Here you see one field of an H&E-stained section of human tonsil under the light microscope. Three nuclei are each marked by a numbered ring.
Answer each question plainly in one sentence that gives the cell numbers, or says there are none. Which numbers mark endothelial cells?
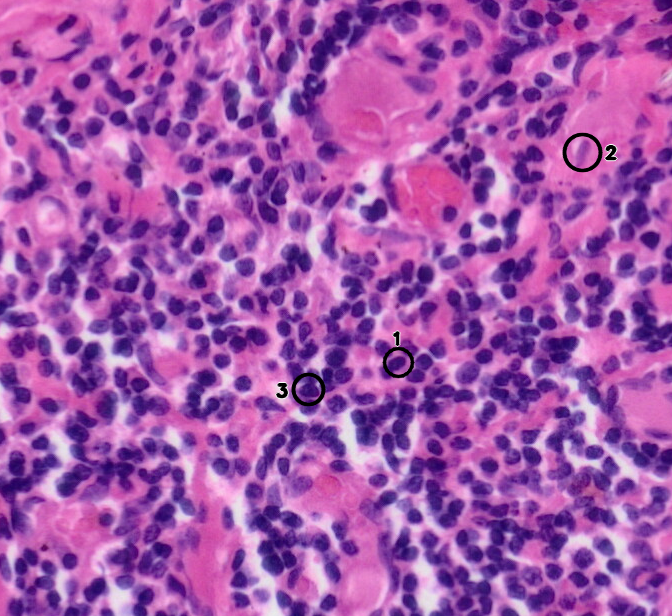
Where the numbered cells are concerned, only number 2 is an endothelial cell.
